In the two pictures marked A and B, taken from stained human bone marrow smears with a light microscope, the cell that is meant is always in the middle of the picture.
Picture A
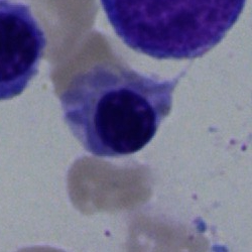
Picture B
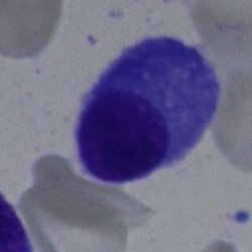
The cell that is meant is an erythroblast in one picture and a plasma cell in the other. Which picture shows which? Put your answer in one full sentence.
Picture A is of an erythroblast, and picture B is of a plasma cell.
